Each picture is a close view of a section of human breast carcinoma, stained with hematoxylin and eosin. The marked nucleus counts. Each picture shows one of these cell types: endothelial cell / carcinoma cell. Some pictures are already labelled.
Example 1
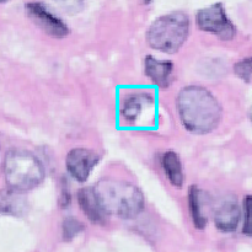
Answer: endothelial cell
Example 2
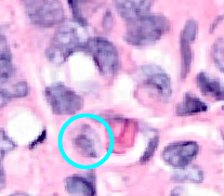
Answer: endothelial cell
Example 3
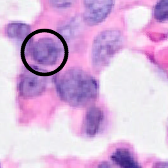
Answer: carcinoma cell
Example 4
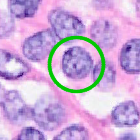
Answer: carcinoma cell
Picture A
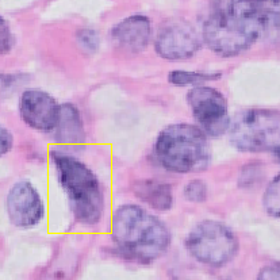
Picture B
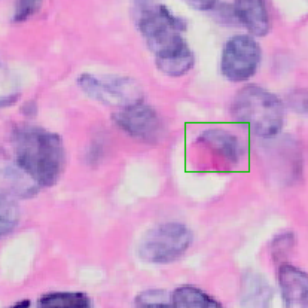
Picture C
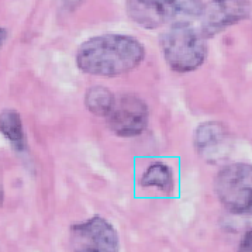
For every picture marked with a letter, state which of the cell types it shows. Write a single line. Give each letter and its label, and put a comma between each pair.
A carcinoma cell, B endothelial cell, C endothelial cell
